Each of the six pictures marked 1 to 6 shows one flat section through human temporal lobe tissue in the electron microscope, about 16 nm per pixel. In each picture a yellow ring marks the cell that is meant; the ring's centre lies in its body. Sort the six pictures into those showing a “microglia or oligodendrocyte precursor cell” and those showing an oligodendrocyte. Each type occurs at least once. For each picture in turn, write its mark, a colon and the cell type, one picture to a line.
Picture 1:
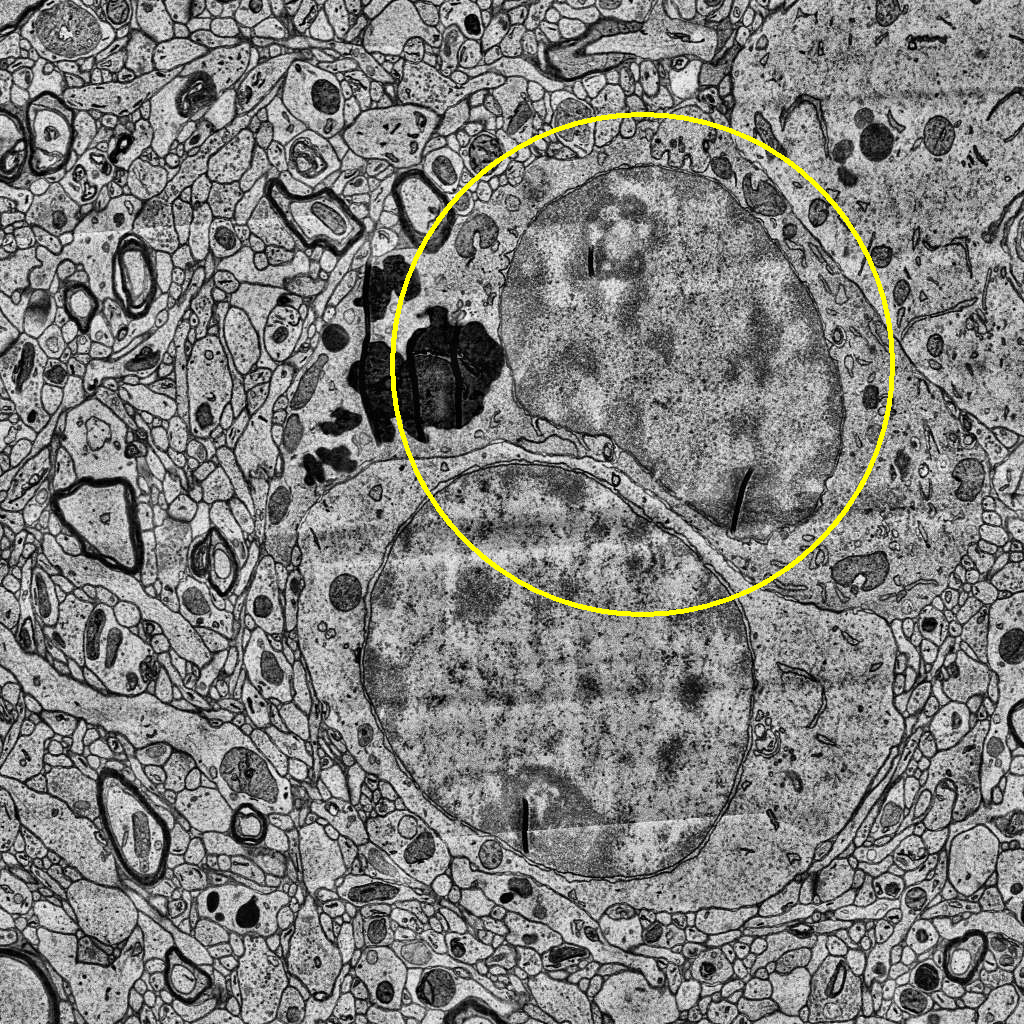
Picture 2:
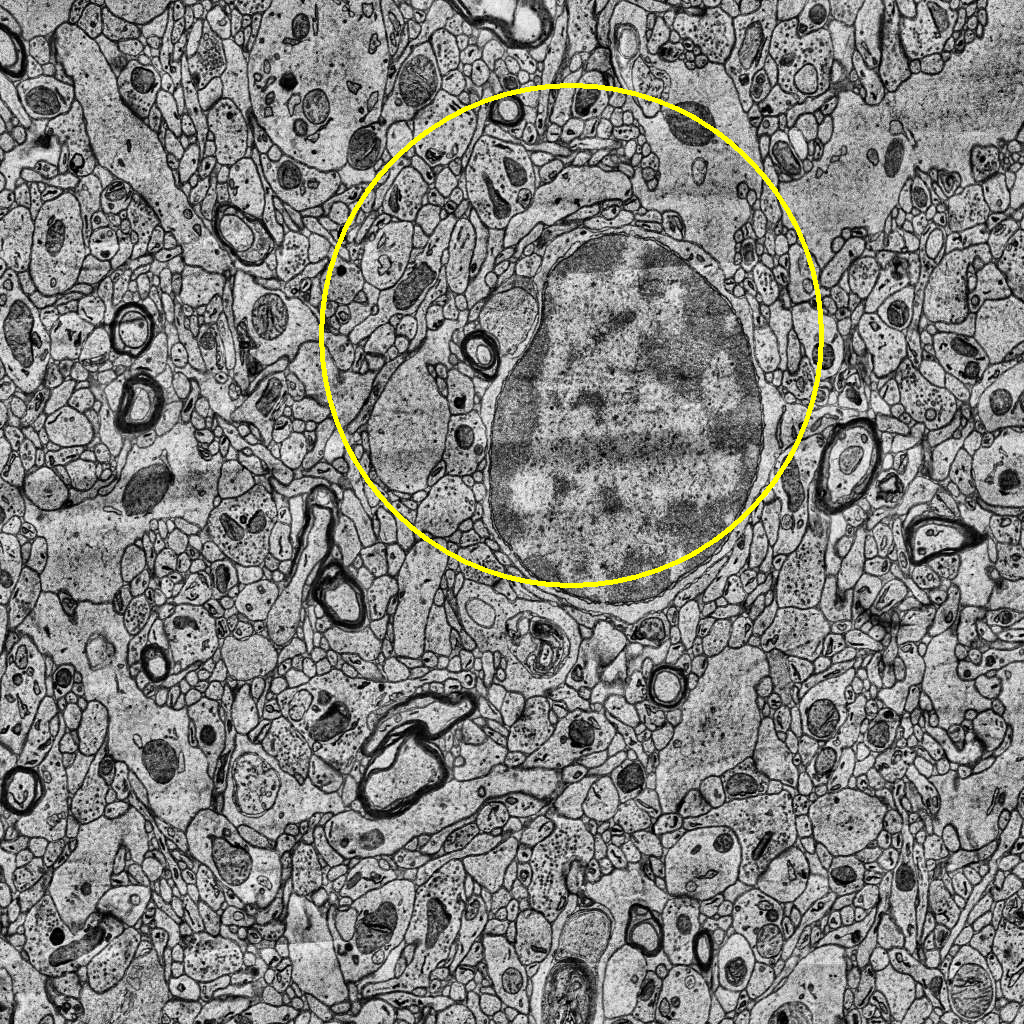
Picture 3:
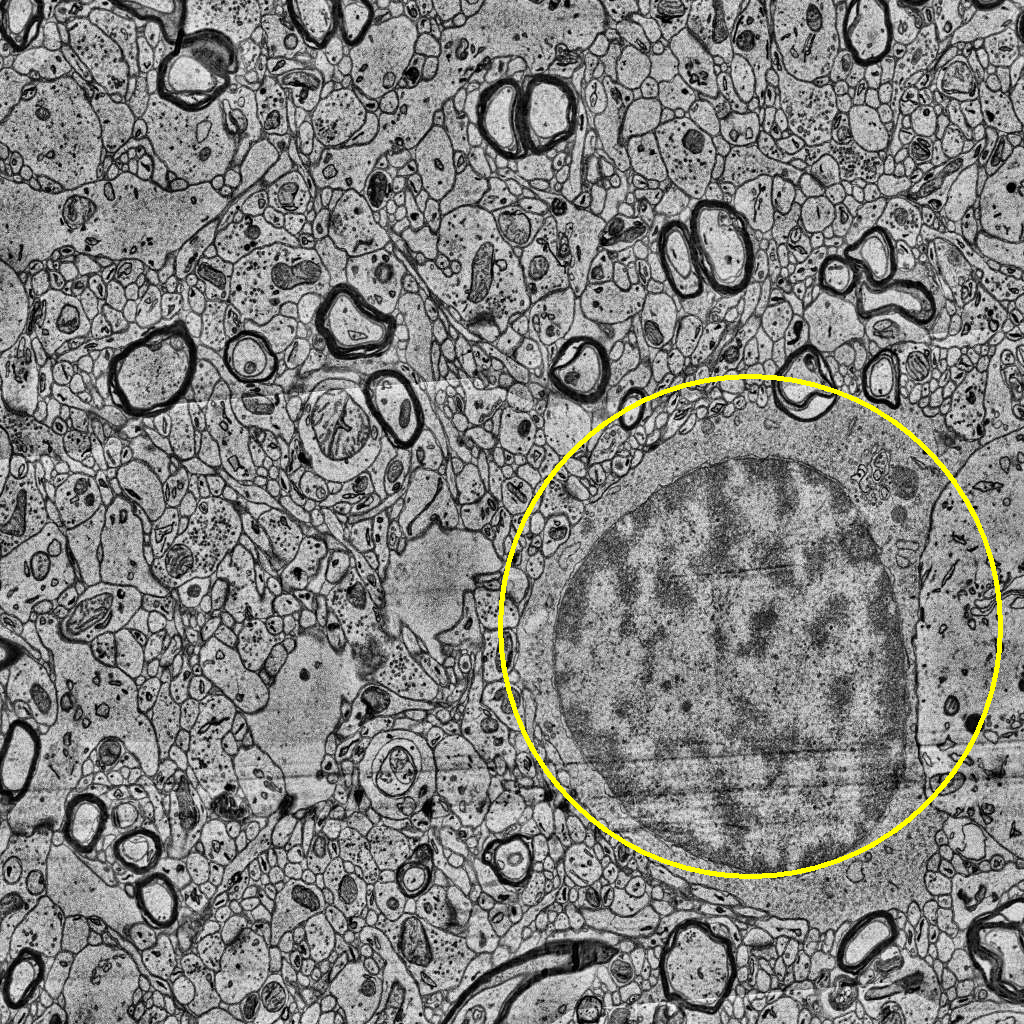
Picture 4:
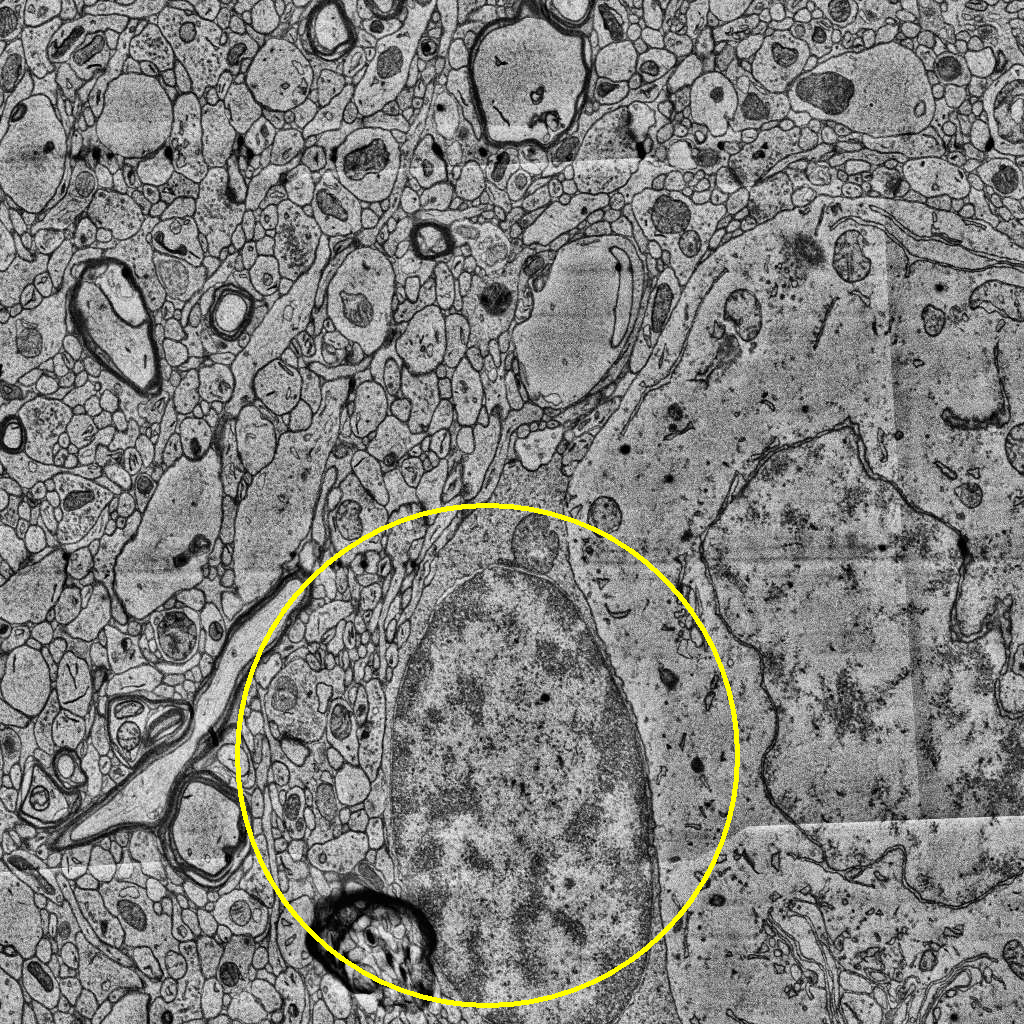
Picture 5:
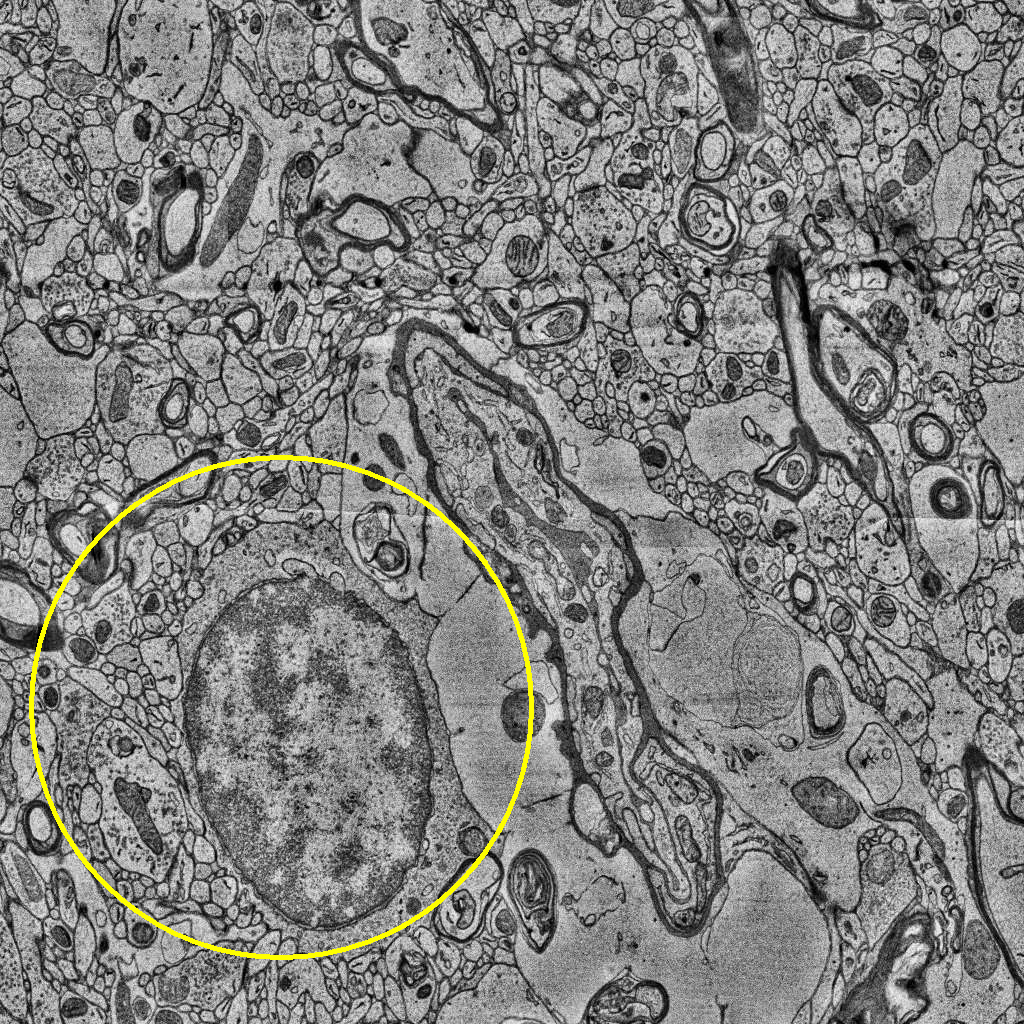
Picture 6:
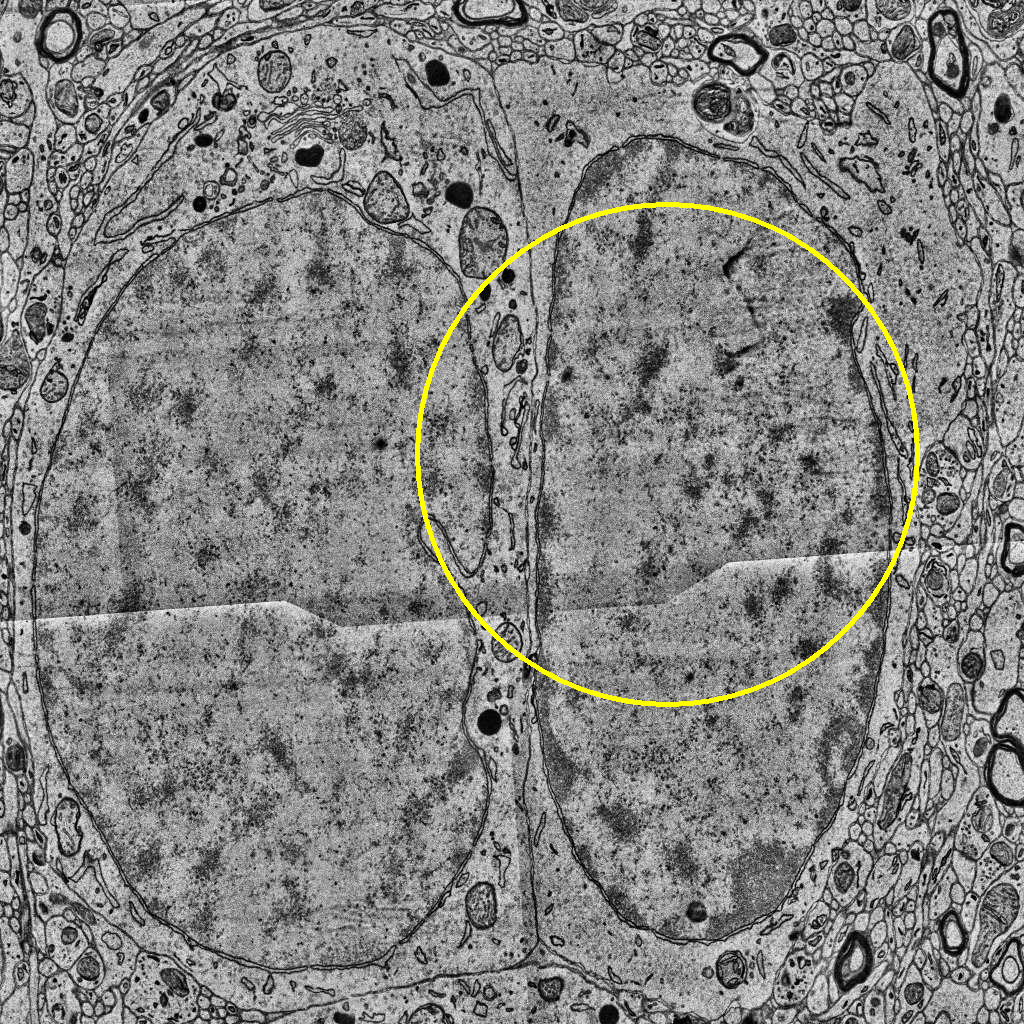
1: oligodendrocyte
2: microglia or oligodendrocyte precursor cell
3: oligodendrocyte
4: oligodendrocyte
5: oligodendrocyte
6: microglia or oligodendrocyte precursor cell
